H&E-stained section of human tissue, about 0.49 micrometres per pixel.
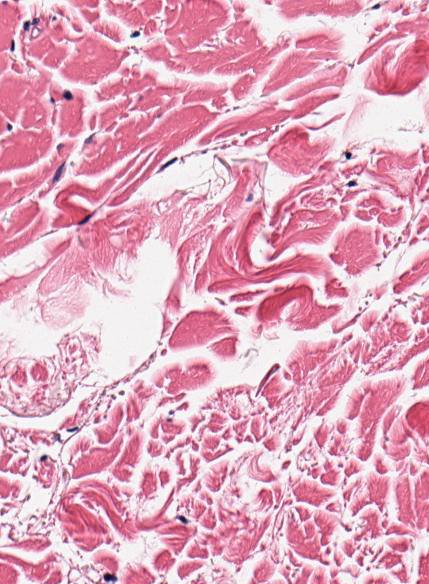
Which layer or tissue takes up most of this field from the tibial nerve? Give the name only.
epineurium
